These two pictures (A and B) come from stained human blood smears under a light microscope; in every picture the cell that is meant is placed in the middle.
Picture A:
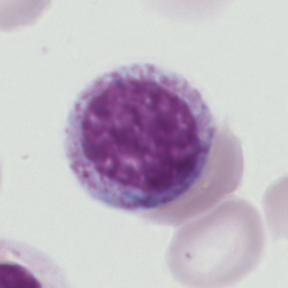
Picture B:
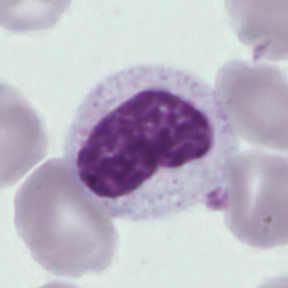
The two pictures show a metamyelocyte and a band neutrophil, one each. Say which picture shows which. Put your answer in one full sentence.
In picture A the cell is a metamyelocyte; in picture B, a band neutrophil.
